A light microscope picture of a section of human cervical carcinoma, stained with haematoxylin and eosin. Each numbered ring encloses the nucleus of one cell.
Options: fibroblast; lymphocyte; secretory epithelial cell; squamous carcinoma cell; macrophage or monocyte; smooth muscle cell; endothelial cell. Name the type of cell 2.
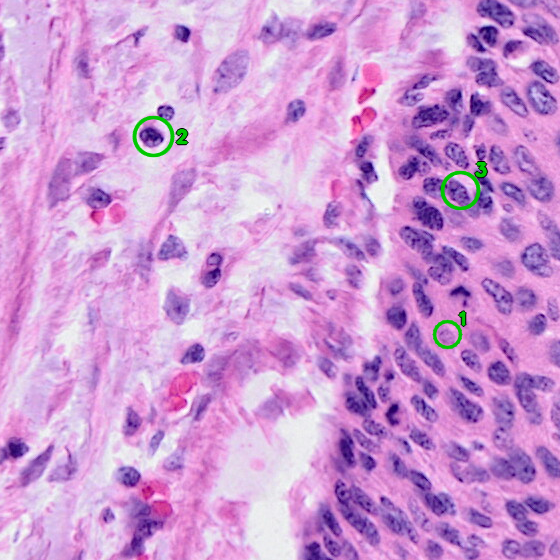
lymphocyte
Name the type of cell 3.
squamous carcinoma cell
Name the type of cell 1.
squamous carcinoma cell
